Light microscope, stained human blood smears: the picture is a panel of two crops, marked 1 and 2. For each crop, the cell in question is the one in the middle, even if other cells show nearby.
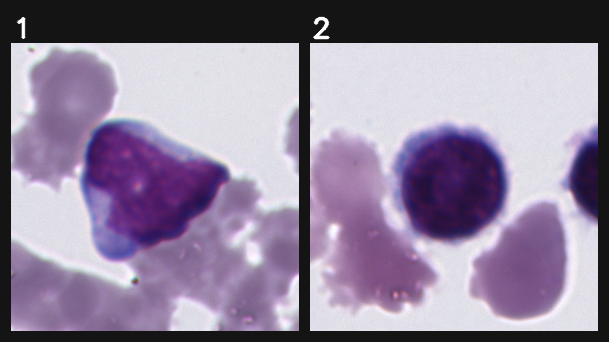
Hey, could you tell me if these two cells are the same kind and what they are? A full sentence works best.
No, in fact crop 1 shows a myeloblast, and crop 2 shows a hairy cell.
